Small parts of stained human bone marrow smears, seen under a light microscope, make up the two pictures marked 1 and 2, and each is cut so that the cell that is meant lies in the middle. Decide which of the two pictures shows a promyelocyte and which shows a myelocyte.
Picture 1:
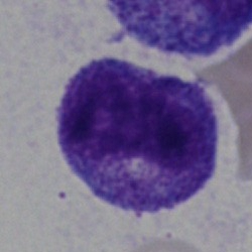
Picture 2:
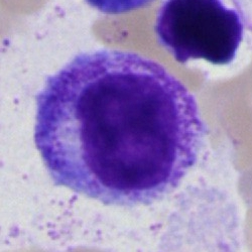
1: promyelocyte
2: myelocyte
